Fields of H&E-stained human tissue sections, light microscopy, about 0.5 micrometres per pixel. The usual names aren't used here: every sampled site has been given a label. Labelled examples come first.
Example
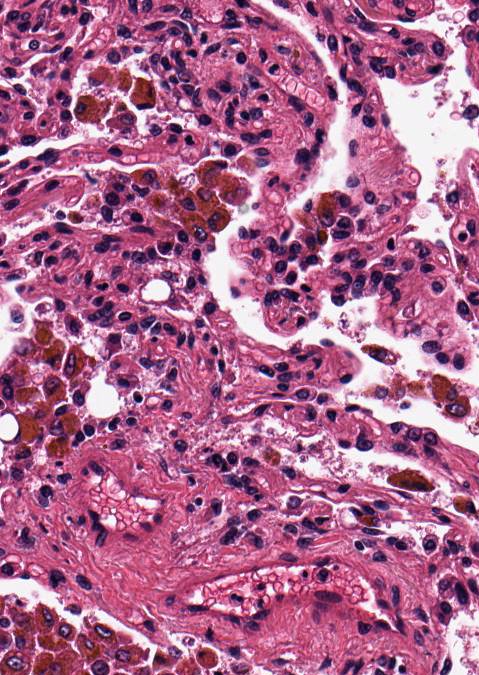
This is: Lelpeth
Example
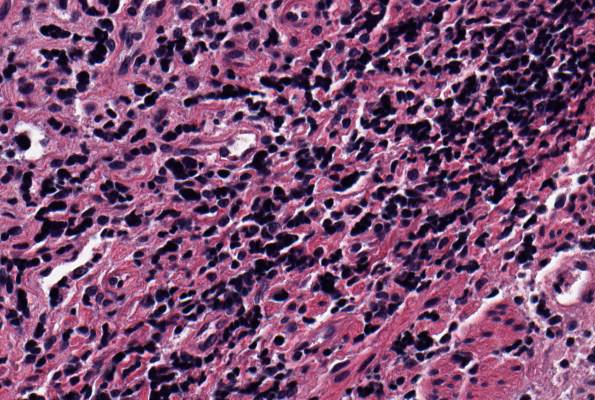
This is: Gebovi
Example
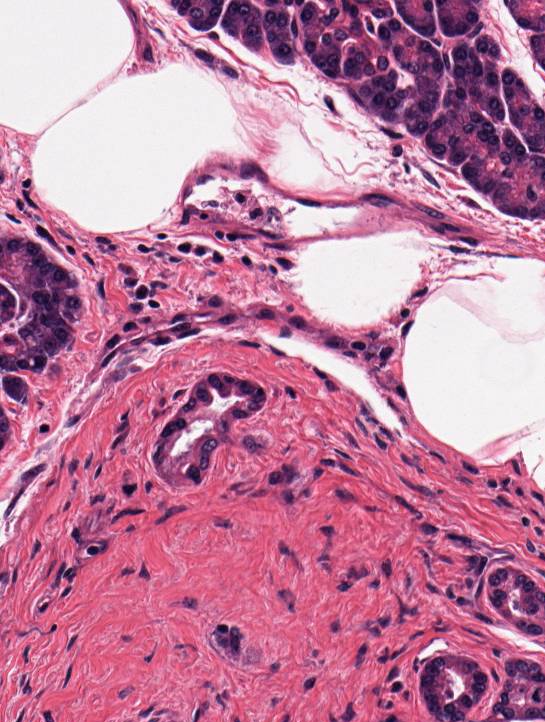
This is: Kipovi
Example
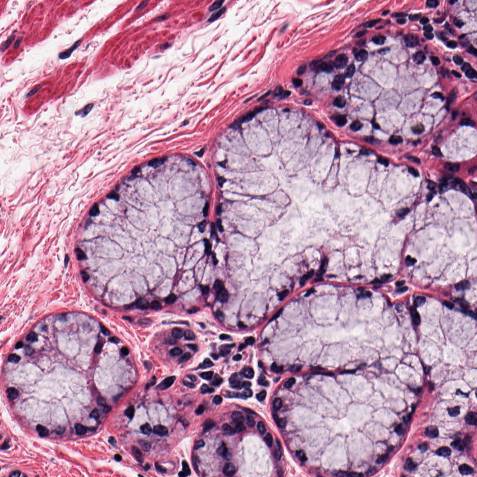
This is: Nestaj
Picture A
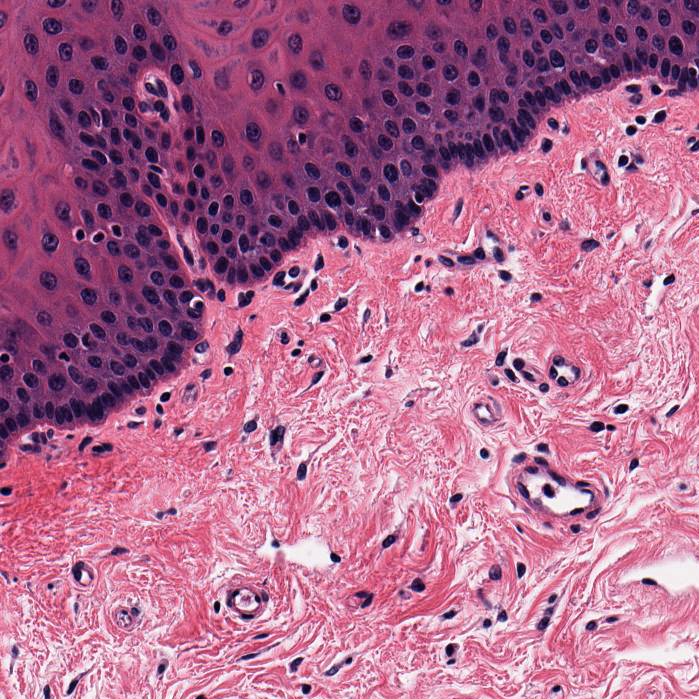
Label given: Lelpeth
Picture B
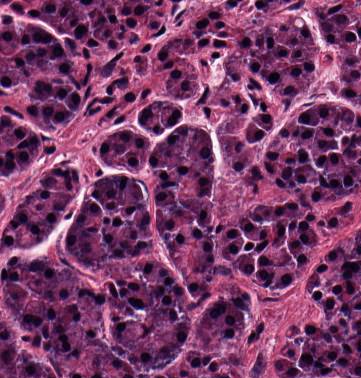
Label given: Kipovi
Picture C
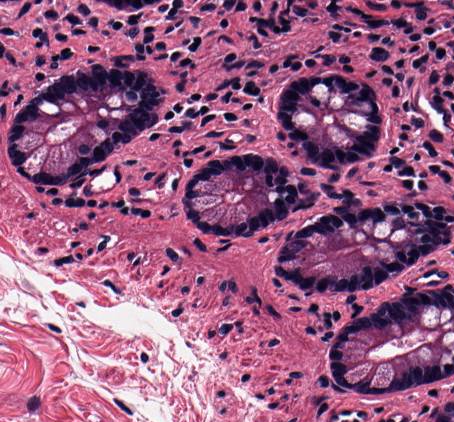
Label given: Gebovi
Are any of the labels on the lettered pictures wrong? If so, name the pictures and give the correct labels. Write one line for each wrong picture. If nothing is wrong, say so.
Wrong: A (Lelpeth); correct: Nestaj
